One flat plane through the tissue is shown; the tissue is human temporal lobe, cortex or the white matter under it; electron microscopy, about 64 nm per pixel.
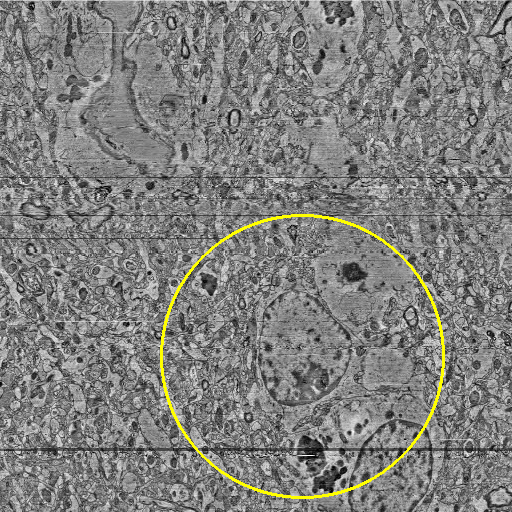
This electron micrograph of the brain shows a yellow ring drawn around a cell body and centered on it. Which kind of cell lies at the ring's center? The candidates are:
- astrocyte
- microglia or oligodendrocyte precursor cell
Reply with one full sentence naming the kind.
The cell lying at the ring's center in this micrograph is an astrocyte.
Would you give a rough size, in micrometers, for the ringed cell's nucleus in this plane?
The nucleus comes to roughly 8 by 6 micrometres in this plane.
